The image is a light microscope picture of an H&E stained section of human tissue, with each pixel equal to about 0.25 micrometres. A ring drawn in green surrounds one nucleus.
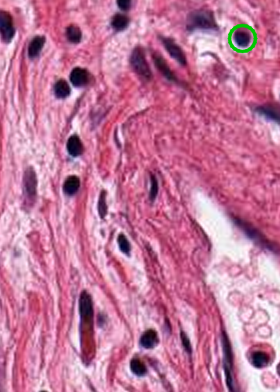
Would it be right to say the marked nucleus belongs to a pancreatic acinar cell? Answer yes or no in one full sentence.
No, it is to a supporting cell that the marked nucleus belongs, not to a pancreatic acinar cell.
